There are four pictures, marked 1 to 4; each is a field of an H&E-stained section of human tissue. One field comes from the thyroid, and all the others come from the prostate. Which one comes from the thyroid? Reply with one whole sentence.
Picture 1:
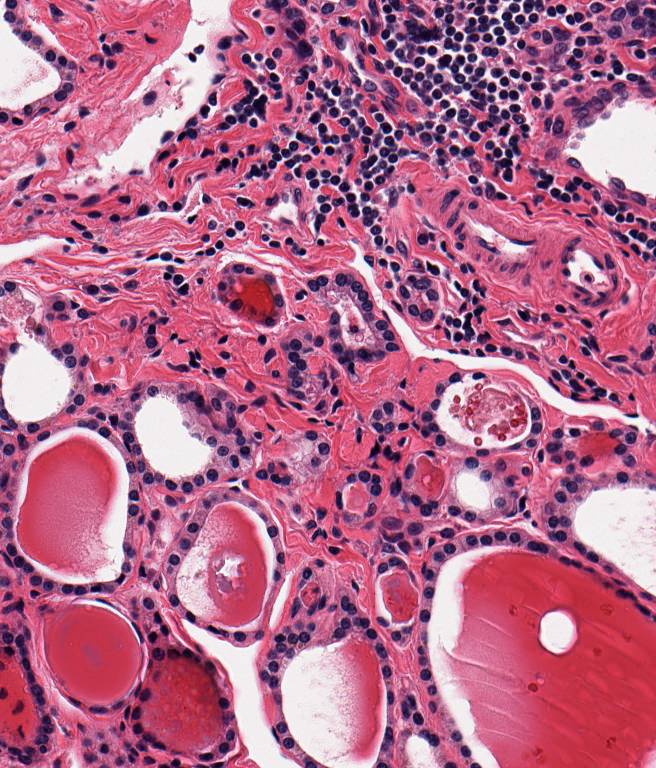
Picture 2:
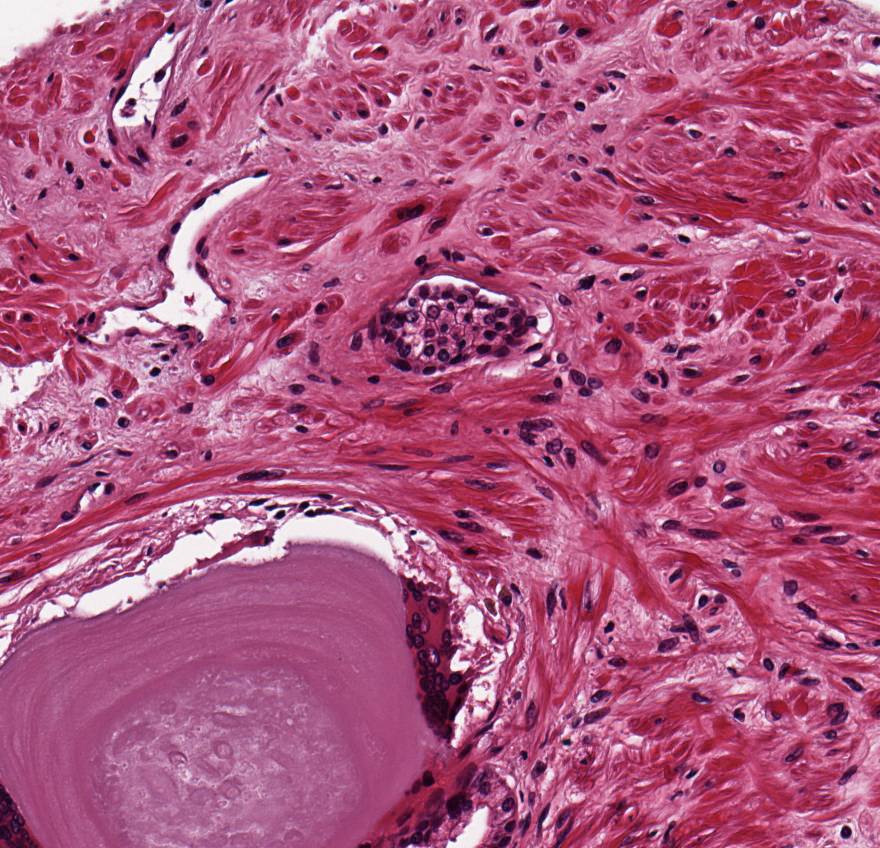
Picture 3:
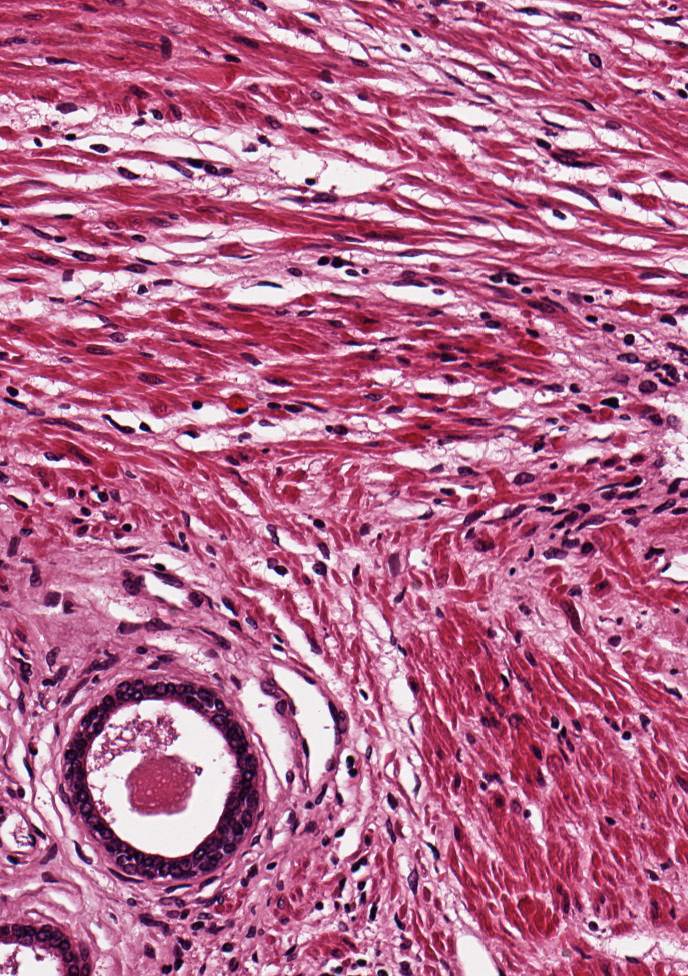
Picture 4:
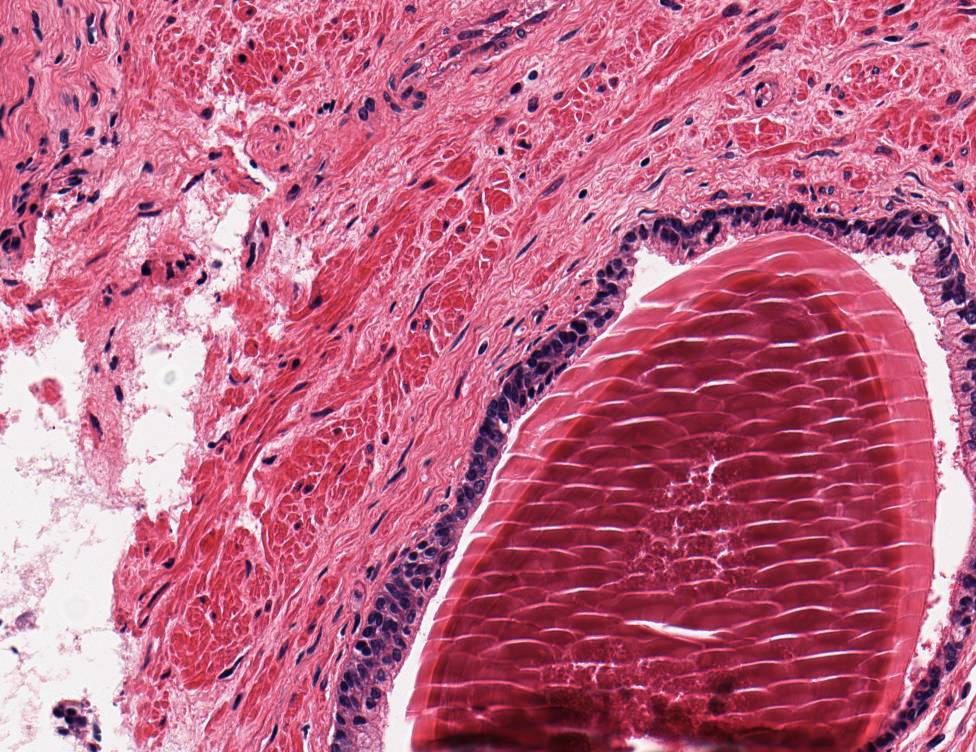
Picture 1 is the field that comes from the thyroid.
